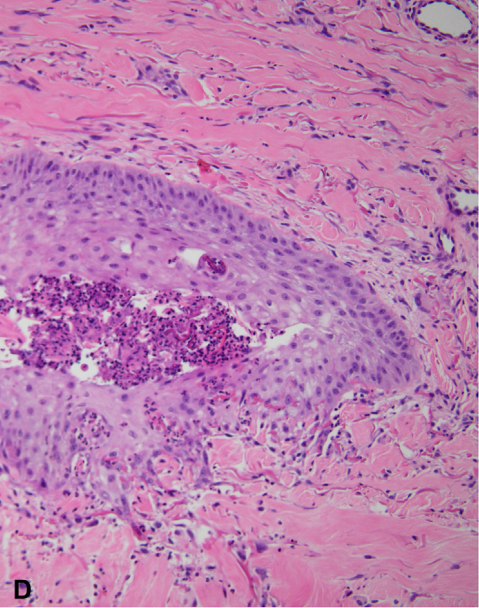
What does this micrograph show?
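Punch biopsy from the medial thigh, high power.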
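Within the dermis lies a strand of squamous epithelium surrounding a narrow lumen packed with purple granular debris and nuclear fragments. The epithelium has several layers of polygonal cells with pale pink cytoplasm and oval nuclei, and the surrounding pink collagen holds scattered inflammatory cells.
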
